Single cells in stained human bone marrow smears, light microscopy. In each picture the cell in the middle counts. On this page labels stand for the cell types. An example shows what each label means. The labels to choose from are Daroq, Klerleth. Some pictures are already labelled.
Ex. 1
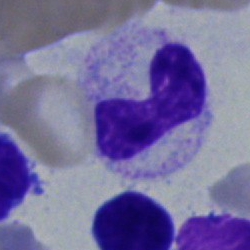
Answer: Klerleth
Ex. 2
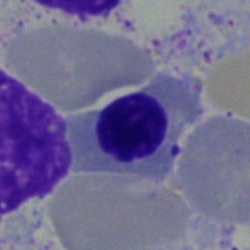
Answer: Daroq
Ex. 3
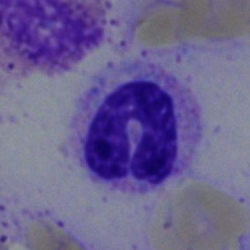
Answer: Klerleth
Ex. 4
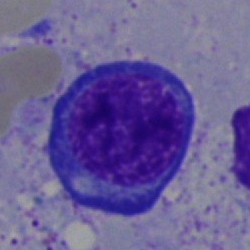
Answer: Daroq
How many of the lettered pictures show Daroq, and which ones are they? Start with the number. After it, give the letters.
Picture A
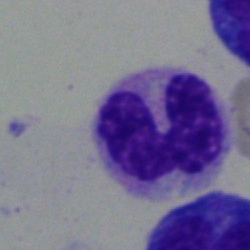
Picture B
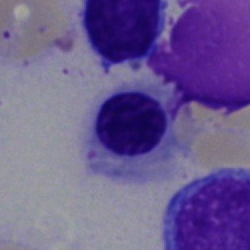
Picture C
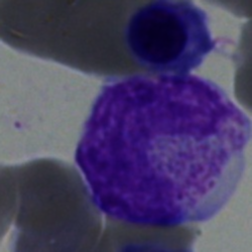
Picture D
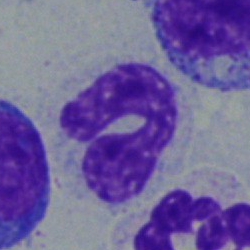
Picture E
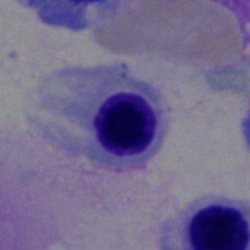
Count: 2 (B, E)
